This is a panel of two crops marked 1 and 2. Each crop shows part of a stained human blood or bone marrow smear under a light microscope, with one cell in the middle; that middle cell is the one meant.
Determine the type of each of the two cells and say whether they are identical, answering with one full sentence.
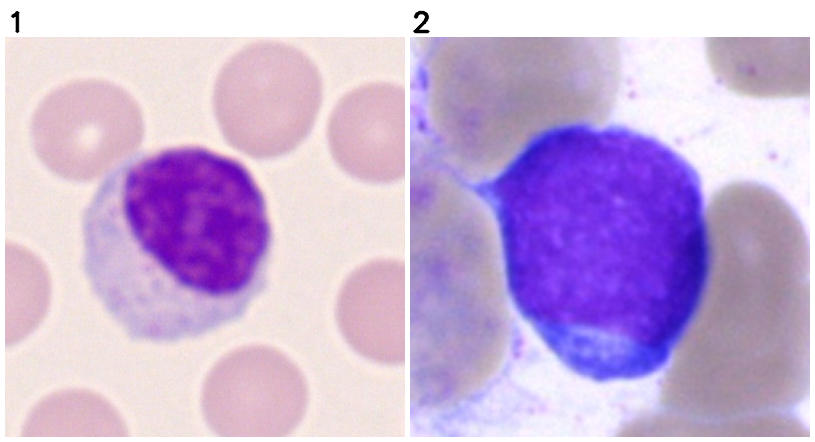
No, crop 1 shows a lymphocyte, and it is crop 2 that shows a blast.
